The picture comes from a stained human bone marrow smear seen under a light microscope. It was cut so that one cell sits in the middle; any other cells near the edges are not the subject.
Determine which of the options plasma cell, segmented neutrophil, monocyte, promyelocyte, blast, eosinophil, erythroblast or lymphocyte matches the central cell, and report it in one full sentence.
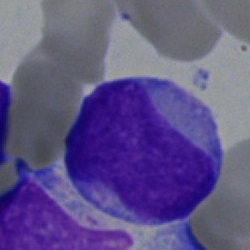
The middle cell in this particular crop is a blast.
